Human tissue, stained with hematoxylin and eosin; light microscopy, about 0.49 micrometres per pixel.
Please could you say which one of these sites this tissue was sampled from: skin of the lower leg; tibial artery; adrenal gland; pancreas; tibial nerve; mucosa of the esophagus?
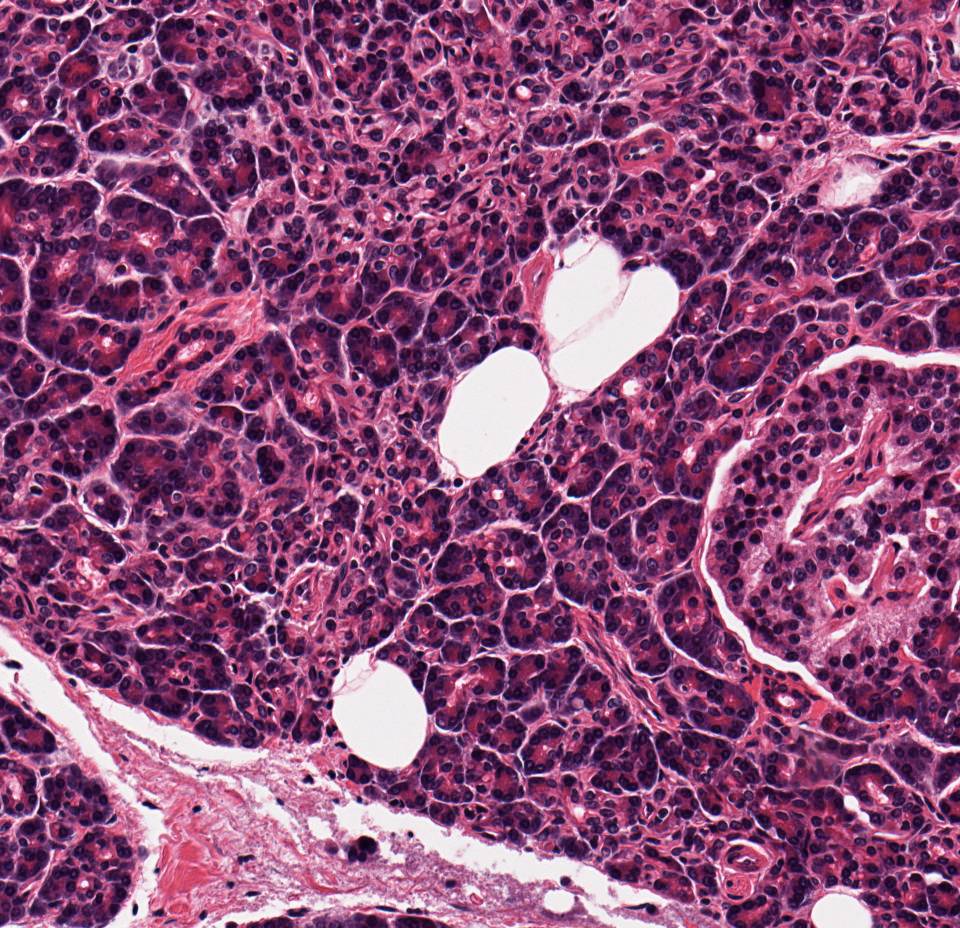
pancreas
